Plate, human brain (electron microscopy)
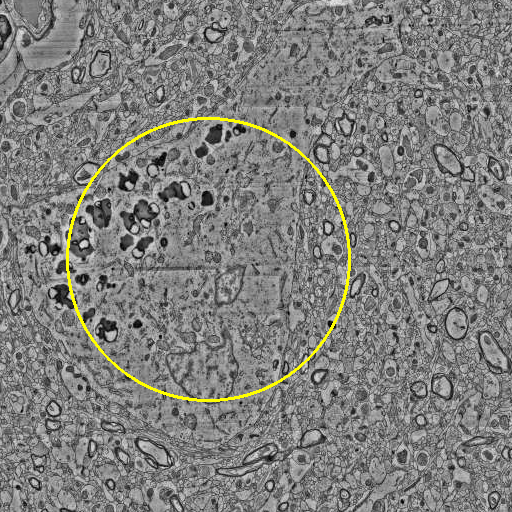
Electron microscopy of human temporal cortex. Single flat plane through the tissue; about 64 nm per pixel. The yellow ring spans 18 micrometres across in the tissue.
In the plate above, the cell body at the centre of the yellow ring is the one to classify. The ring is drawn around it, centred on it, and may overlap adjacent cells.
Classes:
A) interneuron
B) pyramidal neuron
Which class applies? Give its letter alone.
B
